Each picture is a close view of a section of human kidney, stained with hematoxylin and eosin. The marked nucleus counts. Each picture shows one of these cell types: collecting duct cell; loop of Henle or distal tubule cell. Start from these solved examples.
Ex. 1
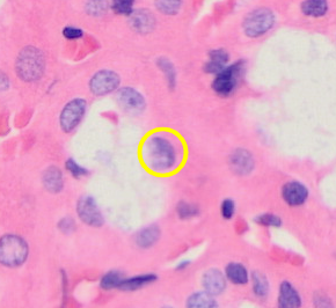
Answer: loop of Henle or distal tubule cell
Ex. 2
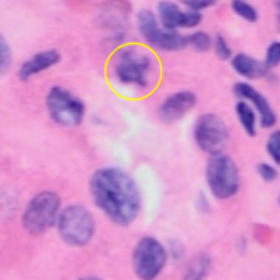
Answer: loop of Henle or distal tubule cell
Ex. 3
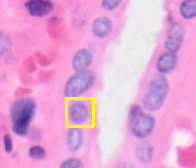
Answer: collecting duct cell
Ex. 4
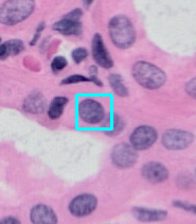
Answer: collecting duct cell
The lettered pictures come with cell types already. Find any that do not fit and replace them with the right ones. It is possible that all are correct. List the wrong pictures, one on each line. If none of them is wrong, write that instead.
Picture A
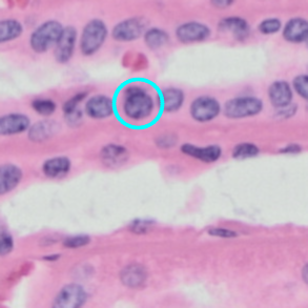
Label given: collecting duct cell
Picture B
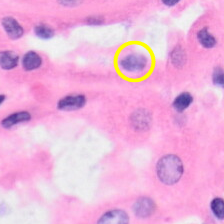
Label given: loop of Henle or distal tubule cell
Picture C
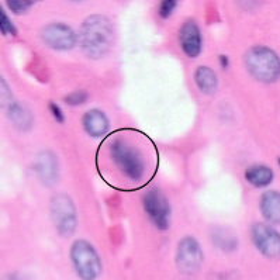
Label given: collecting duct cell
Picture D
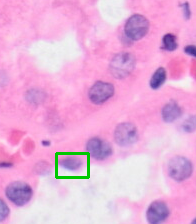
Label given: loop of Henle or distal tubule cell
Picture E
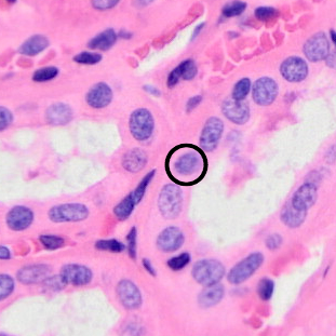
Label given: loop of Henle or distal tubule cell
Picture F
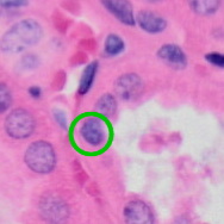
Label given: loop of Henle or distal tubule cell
E: not loop of Henle or distal tubule cell but collecting duct cell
